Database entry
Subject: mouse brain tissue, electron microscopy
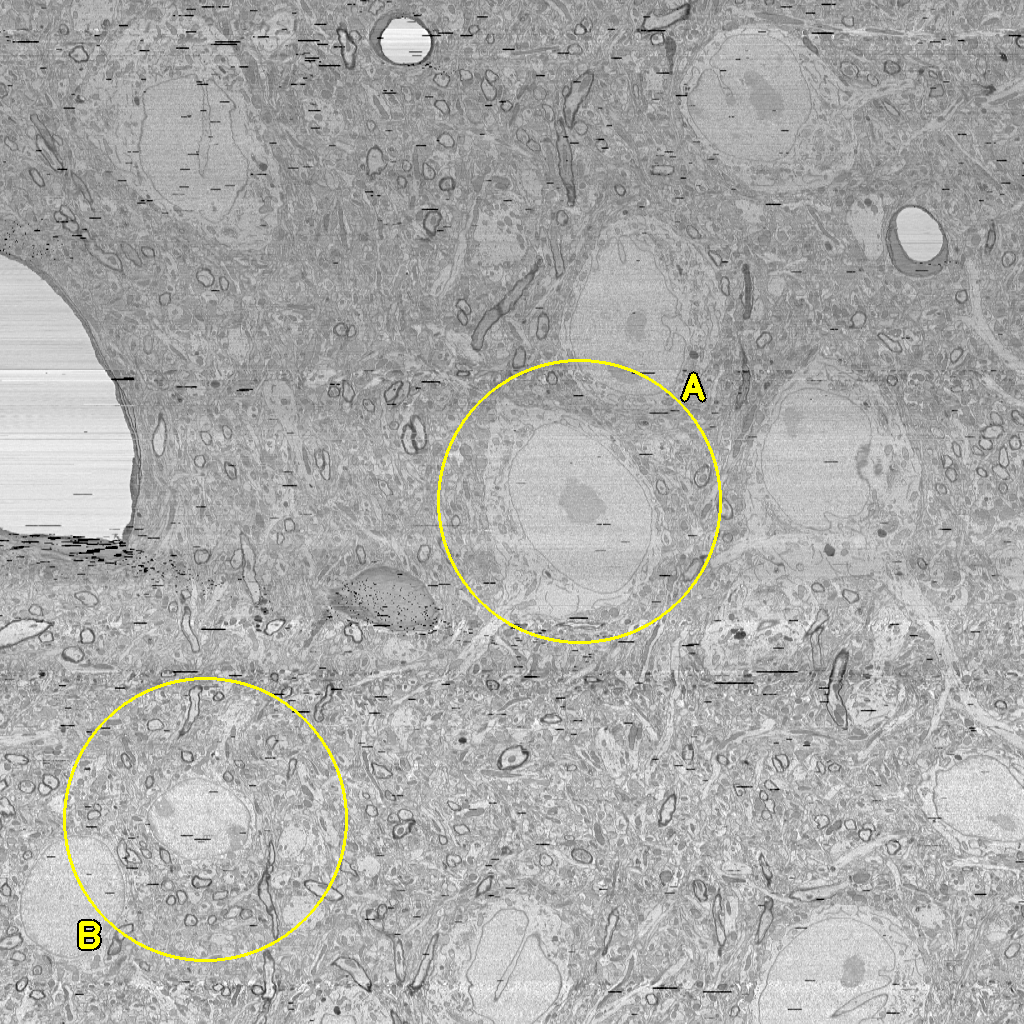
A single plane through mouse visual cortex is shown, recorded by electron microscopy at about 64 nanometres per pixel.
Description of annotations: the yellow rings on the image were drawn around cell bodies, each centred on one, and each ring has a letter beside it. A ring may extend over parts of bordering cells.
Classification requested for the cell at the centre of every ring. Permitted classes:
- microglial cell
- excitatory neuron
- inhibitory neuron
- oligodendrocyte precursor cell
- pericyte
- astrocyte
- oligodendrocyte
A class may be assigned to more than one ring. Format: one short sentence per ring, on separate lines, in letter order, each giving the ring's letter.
The cell body at the centre of ring A is an excitatory neuron.
The cell body at the centre of ring B is an astrocyte.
